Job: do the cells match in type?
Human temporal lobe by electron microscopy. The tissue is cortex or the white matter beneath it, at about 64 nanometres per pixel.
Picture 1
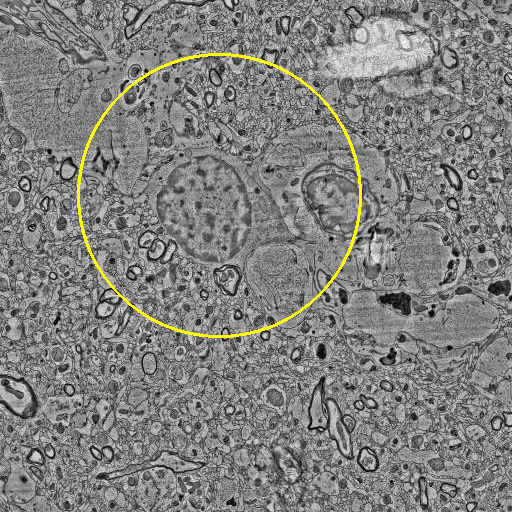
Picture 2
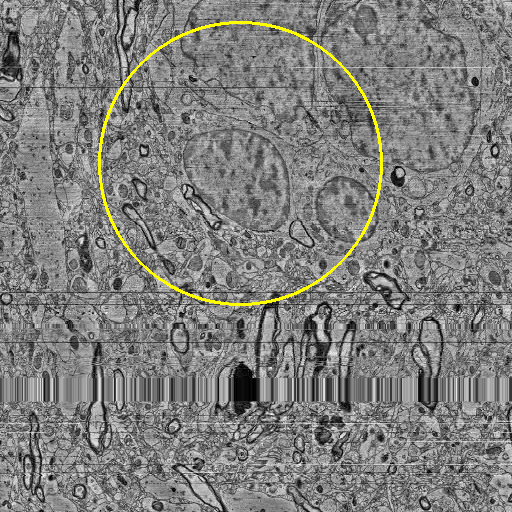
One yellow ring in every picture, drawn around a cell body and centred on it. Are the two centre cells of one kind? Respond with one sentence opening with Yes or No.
Yes, the ringed cells in the two pictures are of one and the same kind.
